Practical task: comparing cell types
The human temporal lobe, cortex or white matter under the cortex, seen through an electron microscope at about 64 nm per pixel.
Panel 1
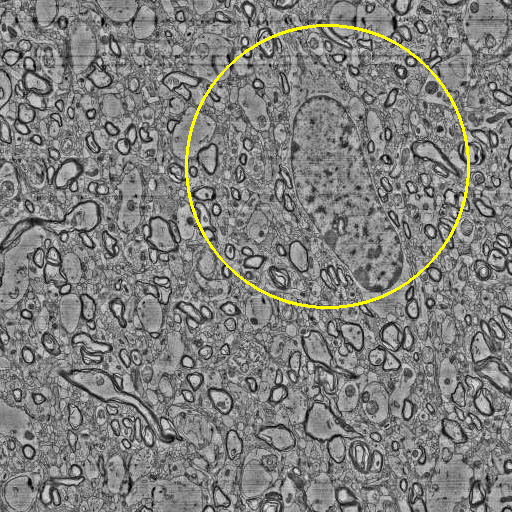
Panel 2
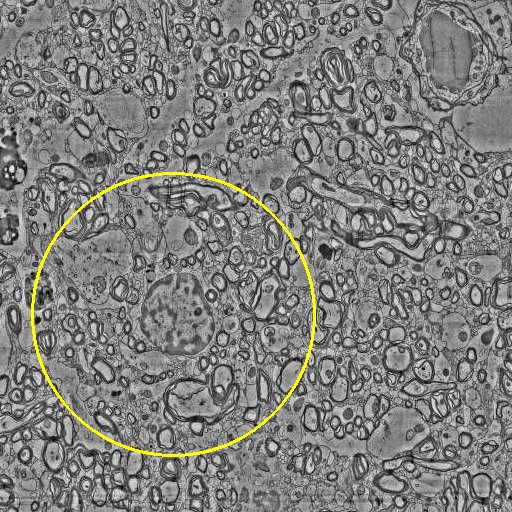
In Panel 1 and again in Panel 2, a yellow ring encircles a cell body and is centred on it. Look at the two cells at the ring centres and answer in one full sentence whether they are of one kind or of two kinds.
The two cells sitting at the ring centres of Panels 1 and 2 are of one kind.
